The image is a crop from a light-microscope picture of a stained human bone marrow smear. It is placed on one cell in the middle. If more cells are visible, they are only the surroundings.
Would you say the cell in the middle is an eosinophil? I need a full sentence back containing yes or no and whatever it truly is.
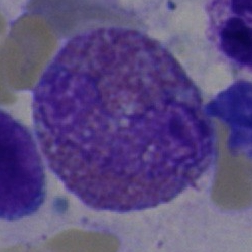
Yes, the cell occupying the middle of the crop is an eosinophil.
